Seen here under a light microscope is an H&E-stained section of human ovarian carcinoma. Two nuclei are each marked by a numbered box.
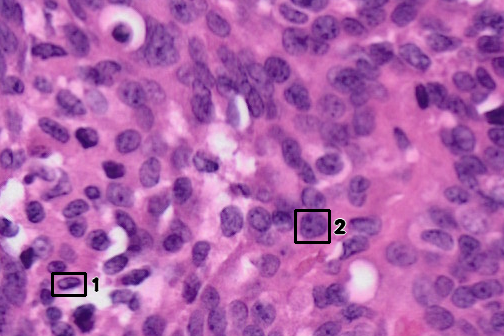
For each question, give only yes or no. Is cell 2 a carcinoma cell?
yes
